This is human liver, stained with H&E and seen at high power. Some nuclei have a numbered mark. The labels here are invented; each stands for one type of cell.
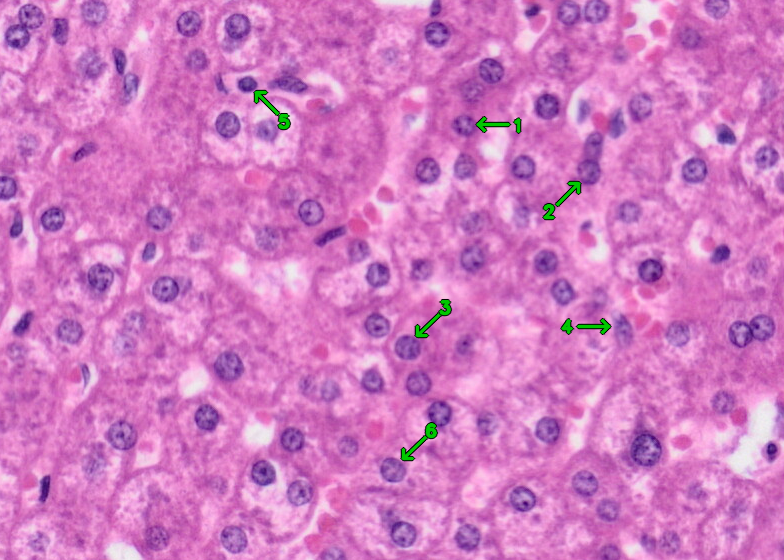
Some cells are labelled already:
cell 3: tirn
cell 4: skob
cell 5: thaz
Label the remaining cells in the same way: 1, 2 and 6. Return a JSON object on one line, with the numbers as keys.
{"1": "tirn", "2": "tirn", "6": "tirn"}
